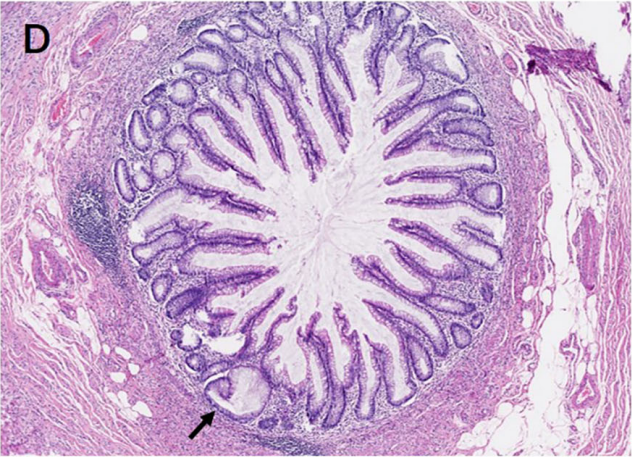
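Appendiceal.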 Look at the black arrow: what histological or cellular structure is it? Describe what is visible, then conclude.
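The arrow points to the base of a crypt at the edge of the lesion. The crypt base there turns sideways, parallel to the underlying tissue.
Answer: L-shaped serrations in the basal crypt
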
